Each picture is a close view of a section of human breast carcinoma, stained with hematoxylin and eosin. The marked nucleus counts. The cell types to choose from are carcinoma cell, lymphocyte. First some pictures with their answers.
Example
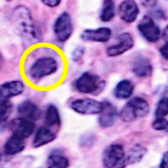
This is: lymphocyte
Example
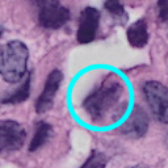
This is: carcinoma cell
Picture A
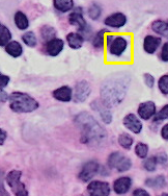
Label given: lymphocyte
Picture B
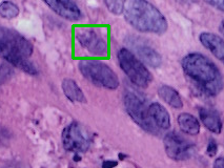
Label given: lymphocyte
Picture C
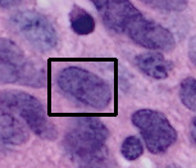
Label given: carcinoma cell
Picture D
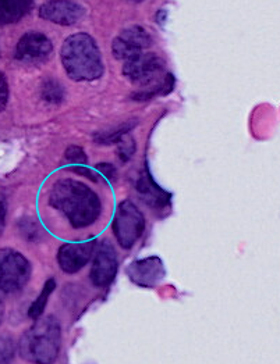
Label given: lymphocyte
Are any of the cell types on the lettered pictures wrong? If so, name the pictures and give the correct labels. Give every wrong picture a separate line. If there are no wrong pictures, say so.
B: change lymphocyte to carcinoma cell
D: change lymphocyte to carcinoma cell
